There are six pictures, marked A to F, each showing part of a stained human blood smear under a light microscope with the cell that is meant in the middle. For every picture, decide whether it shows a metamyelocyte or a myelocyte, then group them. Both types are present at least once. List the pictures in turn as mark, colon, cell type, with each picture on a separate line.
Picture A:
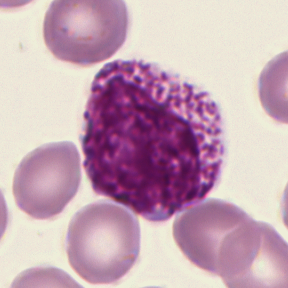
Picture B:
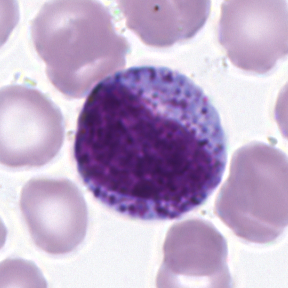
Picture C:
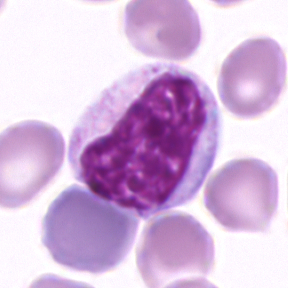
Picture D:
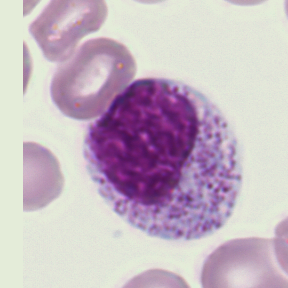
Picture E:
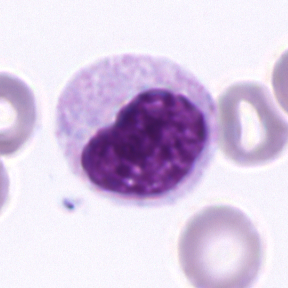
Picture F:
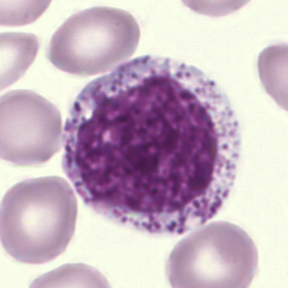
A: metamyelocyte
B: myelocyte
C: metamyelocyte
D: myelocyte
E: metamyelocyte
F: myelocyte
